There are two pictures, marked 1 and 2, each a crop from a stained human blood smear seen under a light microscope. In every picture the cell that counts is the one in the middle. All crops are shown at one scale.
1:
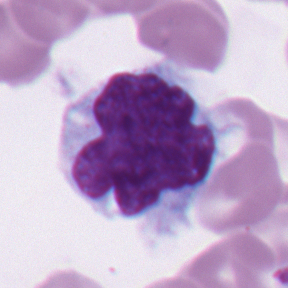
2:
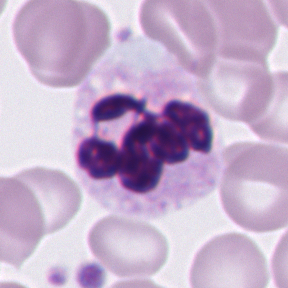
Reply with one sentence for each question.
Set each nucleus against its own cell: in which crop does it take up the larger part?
The nucleus fills more of the cell in picture 1 than in picture 2.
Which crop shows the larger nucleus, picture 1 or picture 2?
Picture 1 shows the larger nucleus; it covers about 2 times the area of the nucleus in picture 2.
